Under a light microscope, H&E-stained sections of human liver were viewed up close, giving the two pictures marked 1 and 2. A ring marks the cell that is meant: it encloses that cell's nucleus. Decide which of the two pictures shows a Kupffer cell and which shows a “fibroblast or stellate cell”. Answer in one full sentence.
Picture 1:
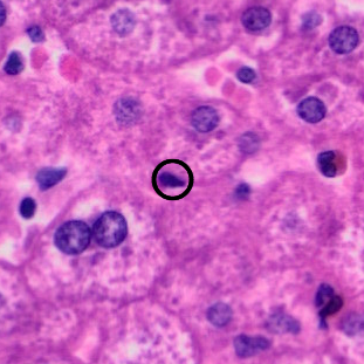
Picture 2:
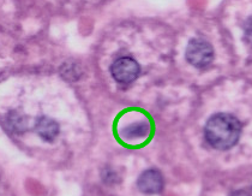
The cell in picture 1 is a “fibroblast or stellate cell”, and the one in picture 2 is a Kupffer cell.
